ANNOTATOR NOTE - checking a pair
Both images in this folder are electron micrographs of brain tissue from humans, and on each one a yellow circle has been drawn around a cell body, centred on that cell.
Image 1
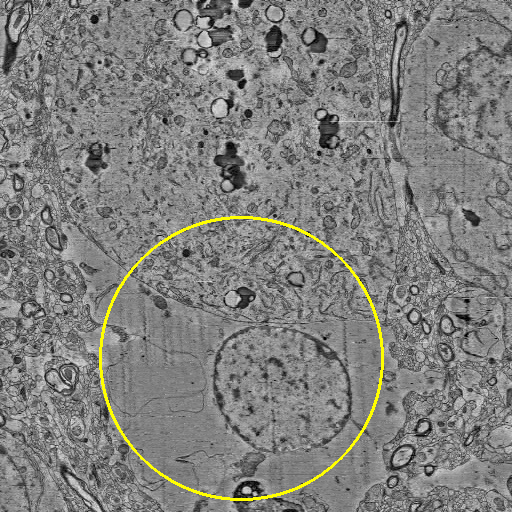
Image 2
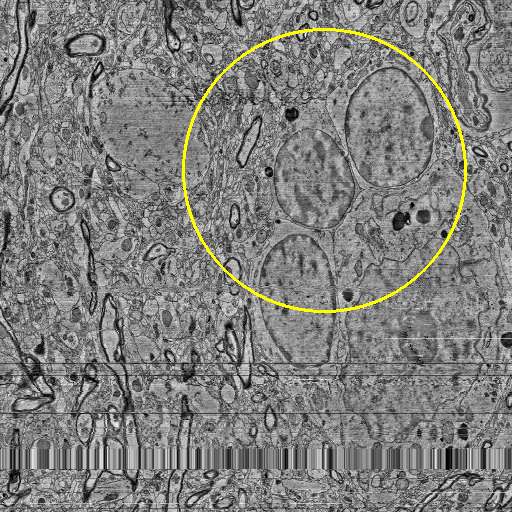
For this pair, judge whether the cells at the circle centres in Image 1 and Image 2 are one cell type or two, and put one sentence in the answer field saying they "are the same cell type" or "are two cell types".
For this pair, the cells at the circle centres in Images 1 and 2 are two cell types.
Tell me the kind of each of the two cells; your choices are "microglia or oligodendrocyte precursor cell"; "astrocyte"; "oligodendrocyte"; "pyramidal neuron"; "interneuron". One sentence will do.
The ringed cell is an astrocyte in the first picture and an oligodendrocyte in the second picture.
